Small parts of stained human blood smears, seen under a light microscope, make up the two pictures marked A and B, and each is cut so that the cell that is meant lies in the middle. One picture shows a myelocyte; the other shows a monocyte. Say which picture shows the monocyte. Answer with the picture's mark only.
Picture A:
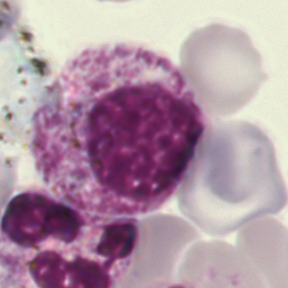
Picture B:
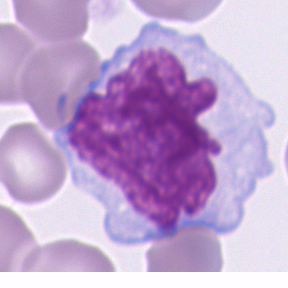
B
